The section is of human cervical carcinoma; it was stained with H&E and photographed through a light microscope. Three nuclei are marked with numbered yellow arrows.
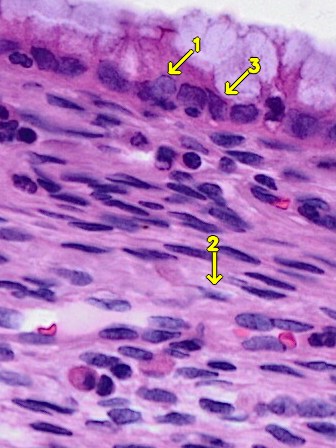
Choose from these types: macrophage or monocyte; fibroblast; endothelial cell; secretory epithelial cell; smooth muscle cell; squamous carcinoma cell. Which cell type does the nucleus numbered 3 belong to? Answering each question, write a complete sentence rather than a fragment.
The nucleus marked 3 is the nucleus of a secretory epithelial cell.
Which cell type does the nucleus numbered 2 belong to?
The numbered cell 2 is identified here as a fibroblast.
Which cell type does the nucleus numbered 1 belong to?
The cell pointed out by number 1 is a secretory epithelial cell.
